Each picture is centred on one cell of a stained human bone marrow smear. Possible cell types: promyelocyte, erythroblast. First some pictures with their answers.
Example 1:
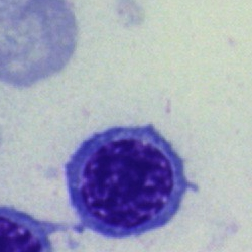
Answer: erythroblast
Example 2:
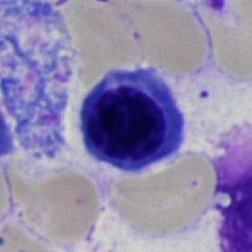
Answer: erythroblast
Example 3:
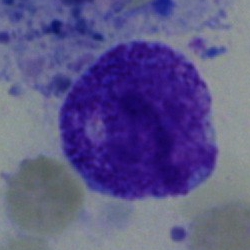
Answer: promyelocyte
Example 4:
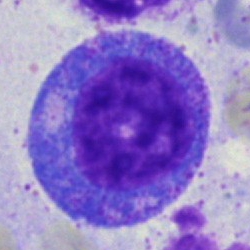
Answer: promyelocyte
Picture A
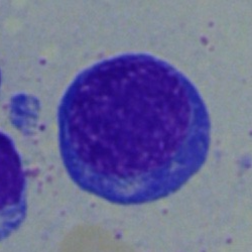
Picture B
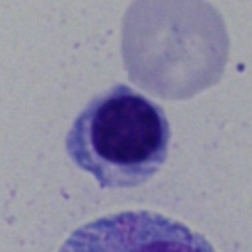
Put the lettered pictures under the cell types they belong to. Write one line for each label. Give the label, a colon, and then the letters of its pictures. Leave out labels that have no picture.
erythroblast: A, B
